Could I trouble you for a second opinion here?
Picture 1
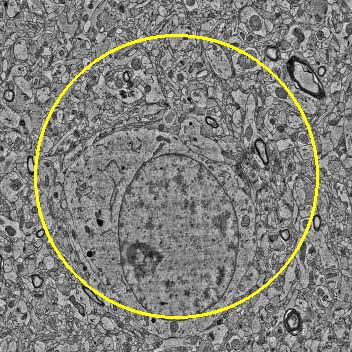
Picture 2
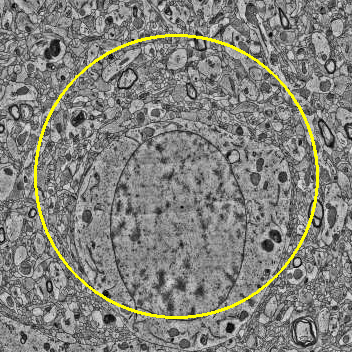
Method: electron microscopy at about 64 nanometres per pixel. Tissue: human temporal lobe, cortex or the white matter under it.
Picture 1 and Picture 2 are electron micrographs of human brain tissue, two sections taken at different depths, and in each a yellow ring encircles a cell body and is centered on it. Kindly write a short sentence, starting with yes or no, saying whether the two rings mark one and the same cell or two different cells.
Yes, one cell appears twice, once in each ring.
